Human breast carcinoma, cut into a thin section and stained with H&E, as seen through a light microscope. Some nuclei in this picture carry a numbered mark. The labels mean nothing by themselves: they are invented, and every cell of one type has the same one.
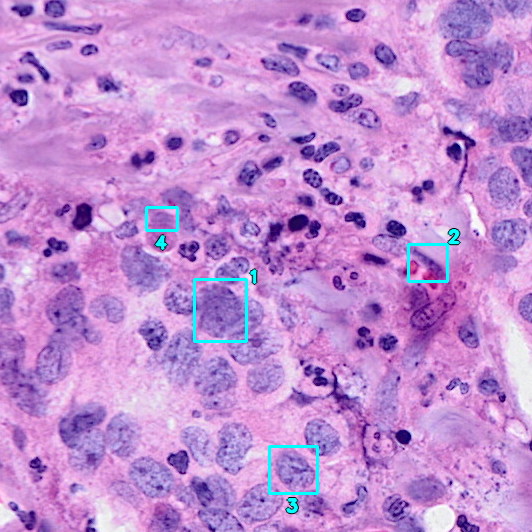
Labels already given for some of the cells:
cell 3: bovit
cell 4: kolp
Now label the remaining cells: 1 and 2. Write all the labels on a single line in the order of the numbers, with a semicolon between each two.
bovit; kolp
